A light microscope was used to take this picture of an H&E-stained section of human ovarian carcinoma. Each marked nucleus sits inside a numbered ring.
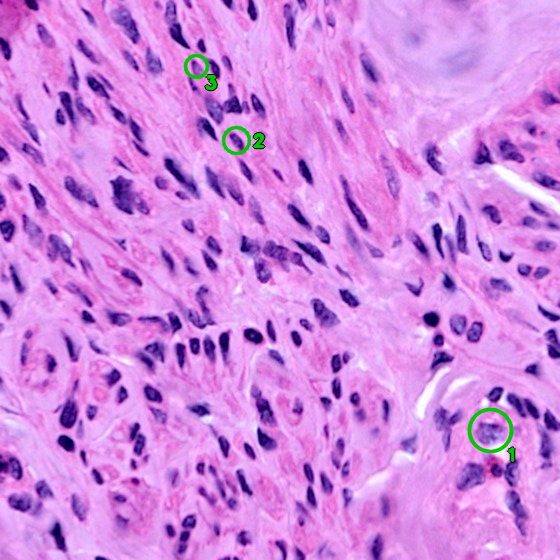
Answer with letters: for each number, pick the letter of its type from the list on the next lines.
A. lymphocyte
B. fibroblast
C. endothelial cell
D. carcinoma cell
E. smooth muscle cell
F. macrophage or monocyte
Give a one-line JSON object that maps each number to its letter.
{"1": "C", "2": "E", "3": "E"}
